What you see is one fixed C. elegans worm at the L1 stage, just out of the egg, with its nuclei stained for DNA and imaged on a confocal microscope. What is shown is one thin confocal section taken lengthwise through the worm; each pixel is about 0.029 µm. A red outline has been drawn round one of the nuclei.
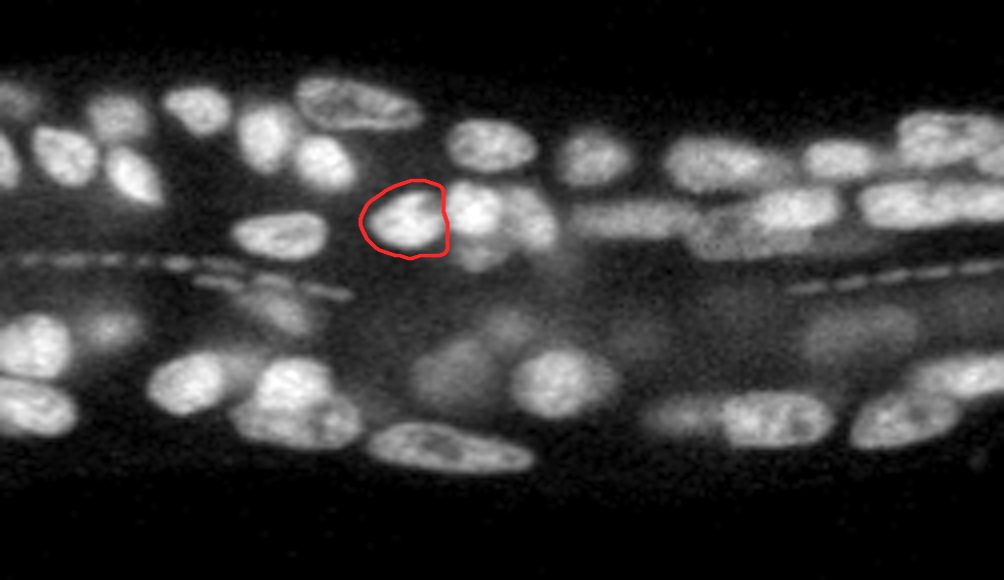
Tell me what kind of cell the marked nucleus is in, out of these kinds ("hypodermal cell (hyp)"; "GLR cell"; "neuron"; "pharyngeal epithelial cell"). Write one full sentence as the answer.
This is the nucleus of a neuron.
